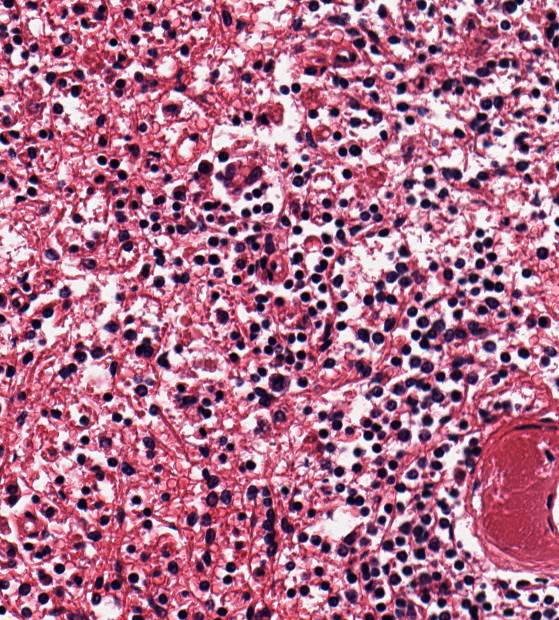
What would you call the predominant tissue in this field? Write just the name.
red pulp of the spleen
